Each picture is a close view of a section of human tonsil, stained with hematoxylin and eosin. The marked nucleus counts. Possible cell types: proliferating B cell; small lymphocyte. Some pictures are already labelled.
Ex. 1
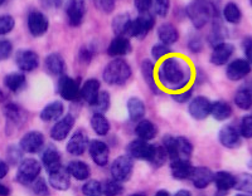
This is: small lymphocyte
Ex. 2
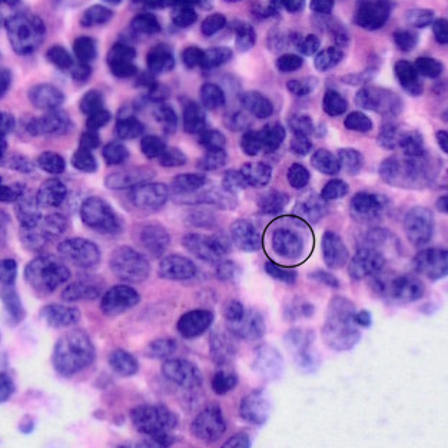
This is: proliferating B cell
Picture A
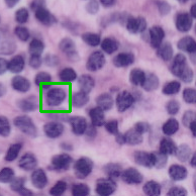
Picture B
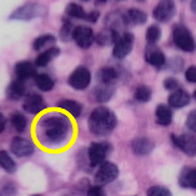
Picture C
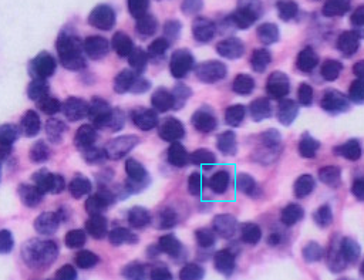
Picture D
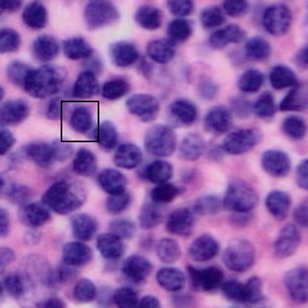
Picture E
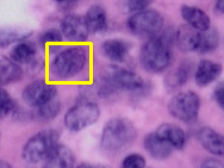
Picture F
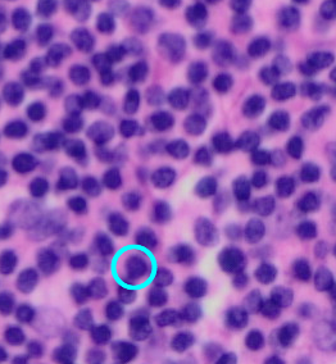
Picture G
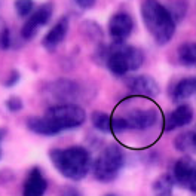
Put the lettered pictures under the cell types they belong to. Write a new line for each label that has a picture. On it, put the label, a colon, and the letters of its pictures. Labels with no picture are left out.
proliferating B cell: B, E, G
small lymphocyte: A, C, D, F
